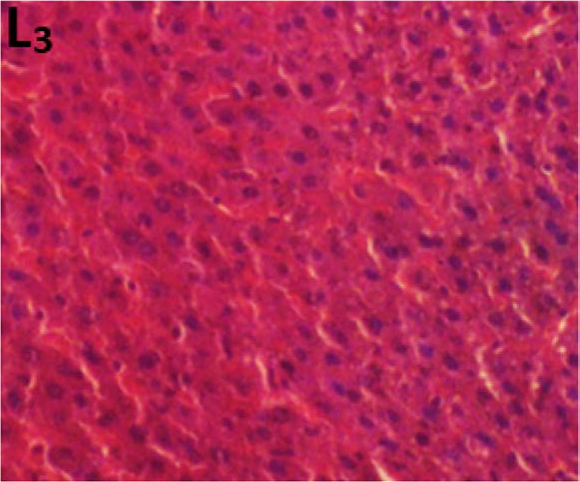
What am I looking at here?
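This is liver tissue made up of hepatocytes packed closely together. The cells are polygonal with pink to red cytoplasm, and each has a round purple nucleus sitting near its centre. They are arranged in rows or cords. Thin, pale, slit-like spaces run between the cords, and these are the sinusoids. The cords run in a roughly parallel pattern across the field.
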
